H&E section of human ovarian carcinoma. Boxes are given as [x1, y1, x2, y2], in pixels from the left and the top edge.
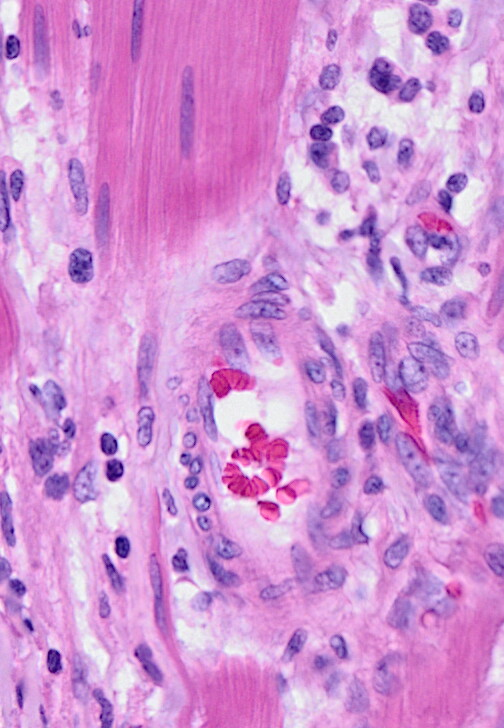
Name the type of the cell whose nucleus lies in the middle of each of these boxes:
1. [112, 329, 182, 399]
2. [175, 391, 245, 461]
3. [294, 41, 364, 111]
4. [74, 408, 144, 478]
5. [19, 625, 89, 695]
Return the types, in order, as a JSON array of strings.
["fibroblast", "endothelial cell", "macrophage or monocyte", "lymphocyte", "lymphocyte"]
